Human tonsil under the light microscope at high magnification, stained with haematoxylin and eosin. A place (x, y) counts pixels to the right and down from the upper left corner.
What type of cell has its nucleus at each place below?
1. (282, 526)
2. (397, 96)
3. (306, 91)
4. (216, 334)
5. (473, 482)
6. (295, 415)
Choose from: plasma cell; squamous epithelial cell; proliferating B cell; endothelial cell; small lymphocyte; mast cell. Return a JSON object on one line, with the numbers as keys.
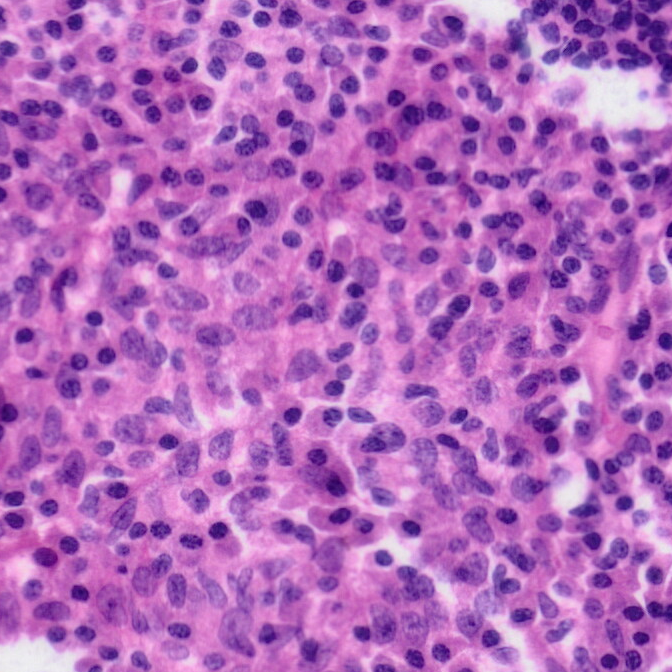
{"1": "plasma cell", "2": "plasma cell", "3": "plasma cell", "4": "squamous epithelial cell", "5": "squamous epithelial cell", "6": "plasma cell"}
